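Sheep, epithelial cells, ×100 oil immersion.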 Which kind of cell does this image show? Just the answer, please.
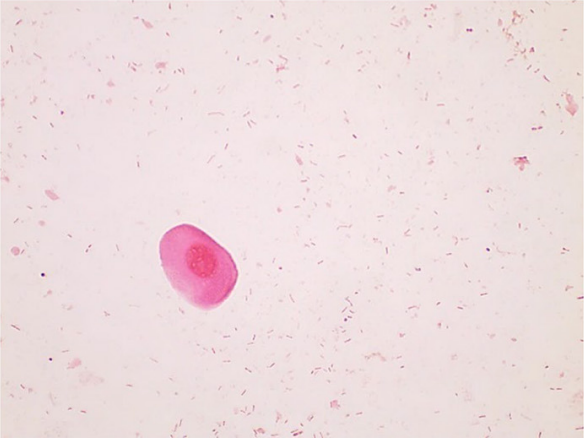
parabasal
